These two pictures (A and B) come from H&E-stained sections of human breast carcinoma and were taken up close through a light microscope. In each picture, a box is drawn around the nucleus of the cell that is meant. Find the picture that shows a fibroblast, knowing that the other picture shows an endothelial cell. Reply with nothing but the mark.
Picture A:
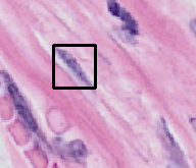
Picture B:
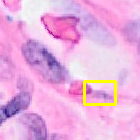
A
